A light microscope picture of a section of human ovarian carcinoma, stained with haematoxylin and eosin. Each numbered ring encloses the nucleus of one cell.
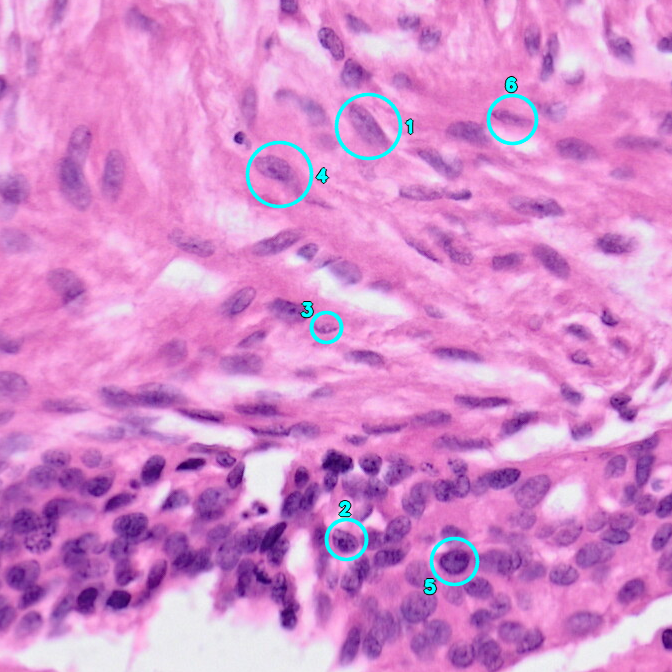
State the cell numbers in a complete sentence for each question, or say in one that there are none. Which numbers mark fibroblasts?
Identified as fibroblasts are the cells numbered 1, 3, 4 and 6.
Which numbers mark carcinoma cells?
Among the marked cells, cell number 5 alone is a carcinoma cell.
